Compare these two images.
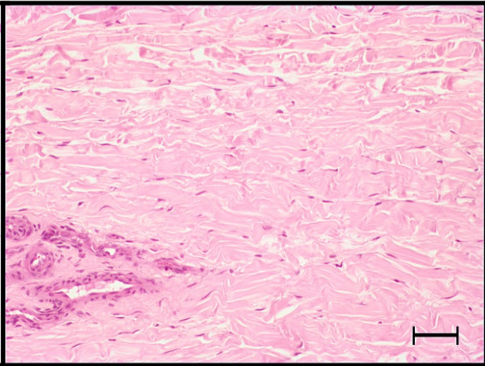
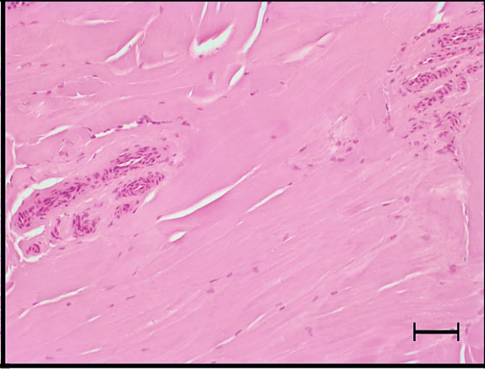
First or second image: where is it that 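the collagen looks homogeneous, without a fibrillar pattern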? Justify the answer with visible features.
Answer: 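Second image: the pink matrix is smooth and glassy with few separate fibres. First image: the matrix is made of many distinct wavy fibres with clefts between them.
The second image.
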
